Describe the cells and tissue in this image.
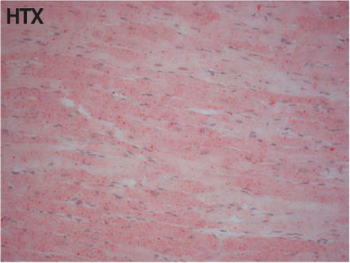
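This is heart muscle cut along its length, with long muscle fibres lying side by side across the field. Small elongated bluish nuclei sit within the fibres, and the fibres take up a pink to red stain with finer red granules scattered through them. Thin pale clefts run between neighbouring fibres.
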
